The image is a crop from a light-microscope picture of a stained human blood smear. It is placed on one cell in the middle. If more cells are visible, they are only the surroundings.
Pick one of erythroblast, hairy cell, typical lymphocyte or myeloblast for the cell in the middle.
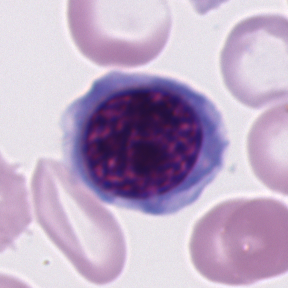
erythroblast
